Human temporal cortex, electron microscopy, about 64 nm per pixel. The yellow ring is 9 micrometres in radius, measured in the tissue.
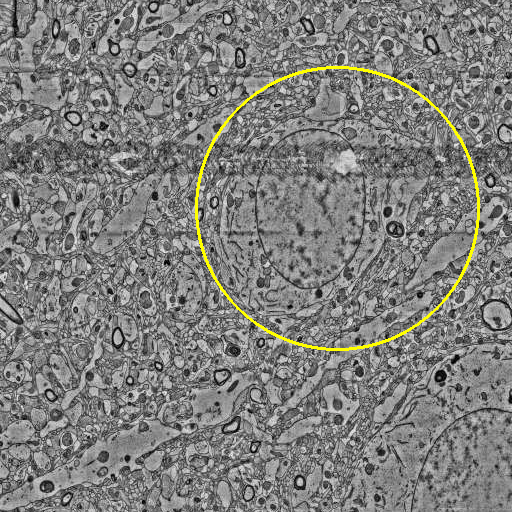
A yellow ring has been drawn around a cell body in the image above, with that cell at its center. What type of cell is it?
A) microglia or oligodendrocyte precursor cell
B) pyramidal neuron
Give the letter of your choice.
B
